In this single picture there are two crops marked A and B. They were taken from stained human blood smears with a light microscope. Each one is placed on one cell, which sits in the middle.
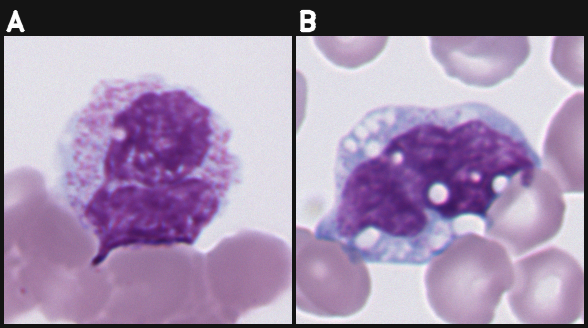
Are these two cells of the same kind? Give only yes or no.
no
